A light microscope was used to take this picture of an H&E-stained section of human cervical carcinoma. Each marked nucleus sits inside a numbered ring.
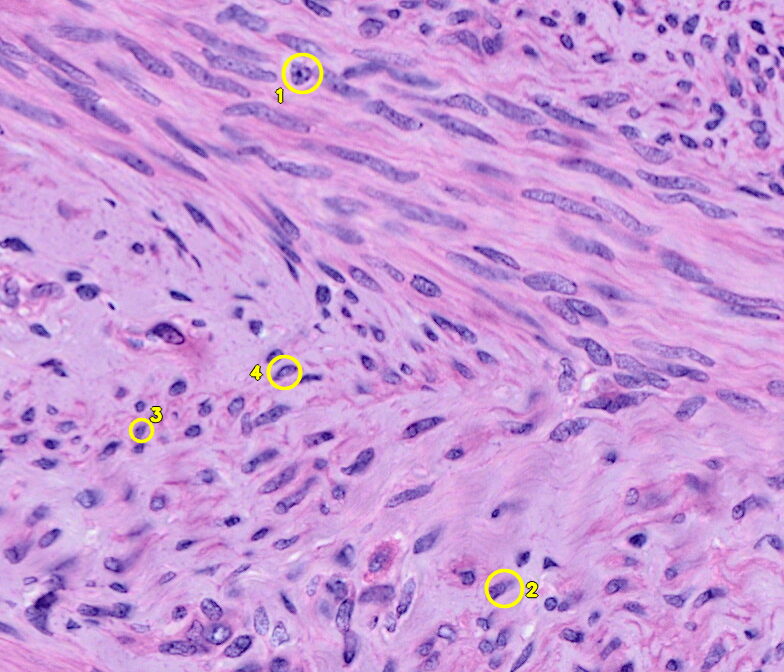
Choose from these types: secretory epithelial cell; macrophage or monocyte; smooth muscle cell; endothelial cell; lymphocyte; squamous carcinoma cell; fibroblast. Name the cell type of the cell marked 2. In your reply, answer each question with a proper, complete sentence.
Nucleus 2 in this section belongs to a smooth muscle cell.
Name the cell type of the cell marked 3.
The cell indicated with the number 3 is classed as a smooth muscle cell.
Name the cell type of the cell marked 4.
The numeral 4 marks a smooth muscle cell in this section.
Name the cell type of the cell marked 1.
Cell 1, among those numbered, is a lymphocyte.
